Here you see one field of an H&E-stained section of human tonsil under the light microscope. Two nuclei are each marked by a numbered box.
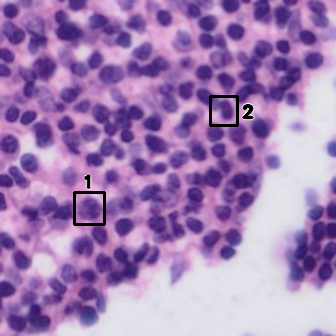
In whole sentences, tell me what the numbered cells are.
Cell 1 is a proliferating B cell and cell 2 is a small lymphocyte.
